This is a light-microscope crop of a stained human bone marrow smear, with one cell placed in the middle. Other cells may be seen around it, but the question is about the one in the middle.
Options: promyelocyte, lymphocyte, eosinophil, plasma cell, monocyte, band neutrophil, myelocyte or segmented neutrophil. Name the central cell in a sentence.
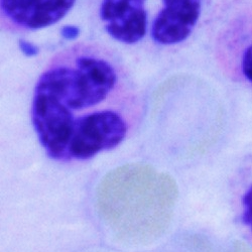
The cell at the heart of this crop is a band neutrophil.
